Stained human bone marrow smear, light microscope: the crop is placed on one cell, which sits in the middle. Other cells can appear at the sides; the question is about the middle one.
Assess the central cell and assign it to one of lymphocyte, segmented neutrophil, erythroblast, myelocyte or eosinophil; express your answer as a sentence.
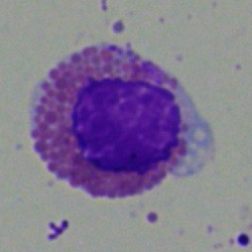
Centred in the crop is an eosinophil.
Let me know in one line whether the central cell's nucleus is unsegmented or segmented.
Please observe that the nucleus consists of one compact round, oval or kidney-shaped mass.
